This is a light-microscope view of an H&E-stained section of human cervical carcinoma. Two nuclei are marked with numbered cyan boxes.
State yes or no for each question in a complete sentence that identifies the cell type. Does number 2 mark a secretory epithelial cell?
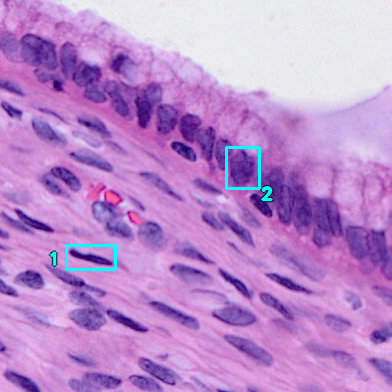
Yes, the nucleus numbered 2 belongs to a secretory epithelial cell.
